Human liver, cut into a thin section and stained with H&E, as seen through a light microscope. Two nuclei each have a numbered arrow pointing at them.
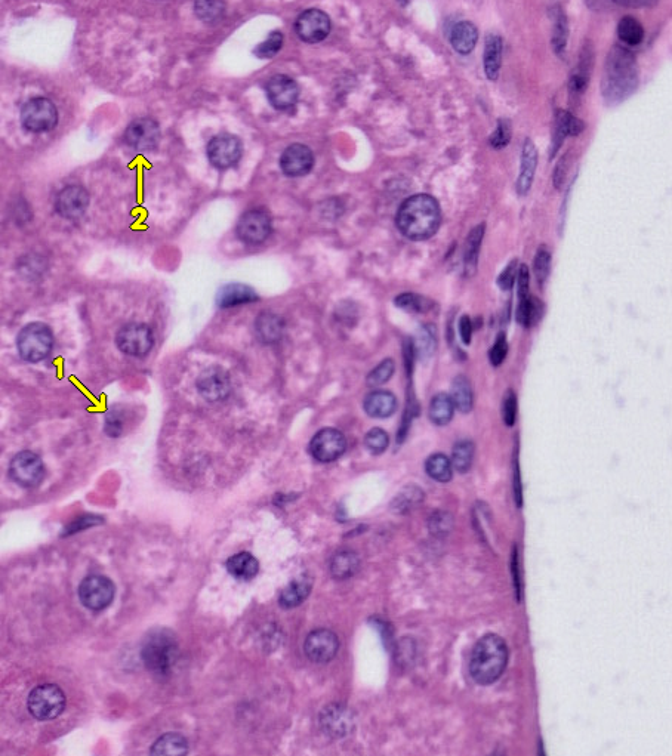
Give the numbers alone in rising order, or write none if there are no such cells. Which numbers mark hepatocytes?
2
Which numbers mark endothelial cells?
none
